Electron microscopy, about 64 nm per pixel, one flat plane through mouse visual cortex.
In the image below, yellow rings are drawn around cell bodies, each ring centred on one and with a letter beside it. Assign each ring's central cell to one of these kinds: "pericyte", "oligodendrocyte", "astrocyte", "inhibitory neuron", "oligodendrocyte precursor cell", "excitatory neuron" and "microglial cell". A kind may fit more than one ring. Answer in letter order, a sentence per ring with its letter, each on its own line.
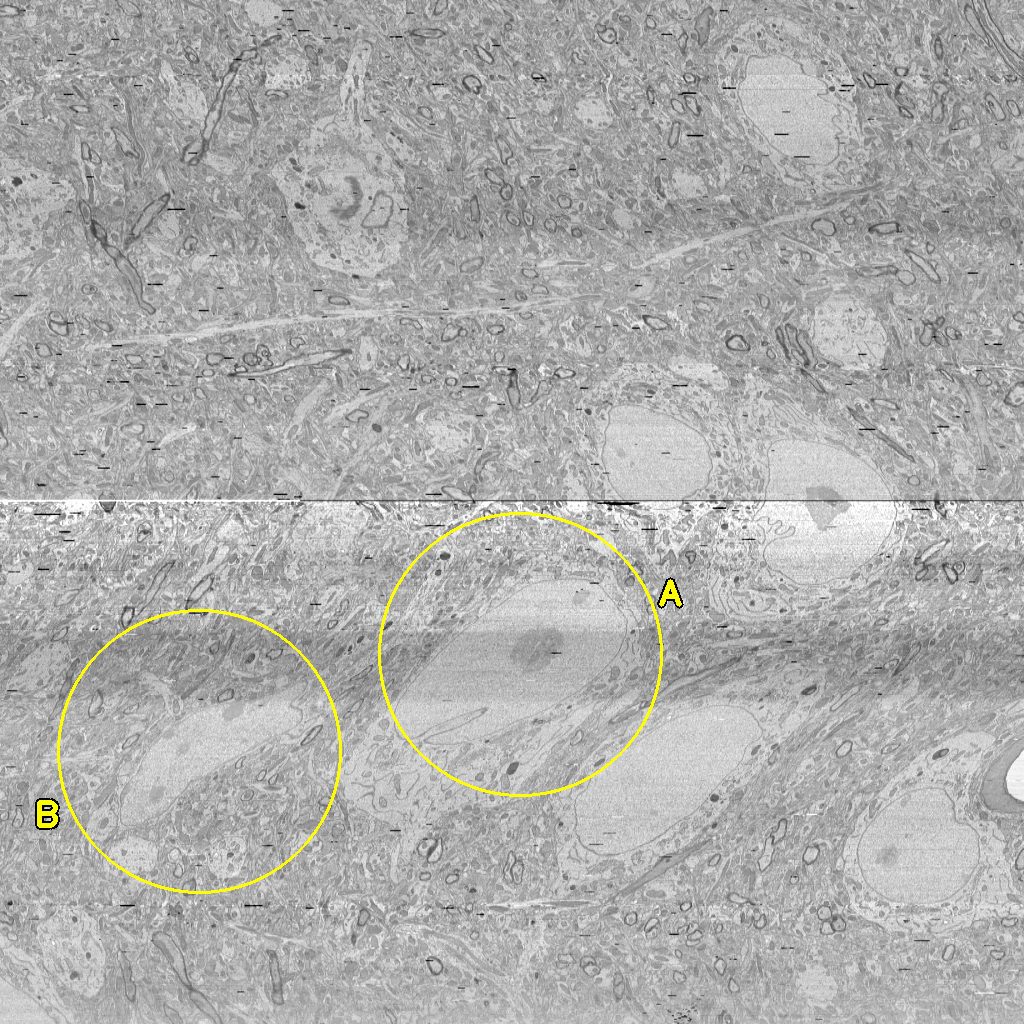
The central cell of ring A is an excitatory neuron.
The central cell of ring B is an oligodendrocyte precursor cell.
